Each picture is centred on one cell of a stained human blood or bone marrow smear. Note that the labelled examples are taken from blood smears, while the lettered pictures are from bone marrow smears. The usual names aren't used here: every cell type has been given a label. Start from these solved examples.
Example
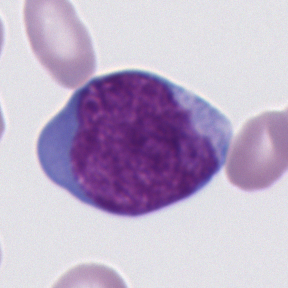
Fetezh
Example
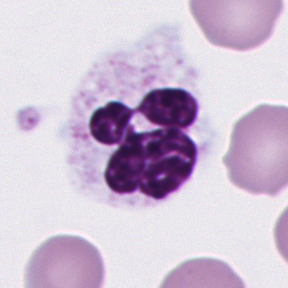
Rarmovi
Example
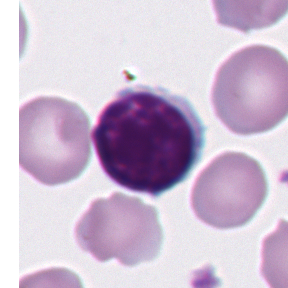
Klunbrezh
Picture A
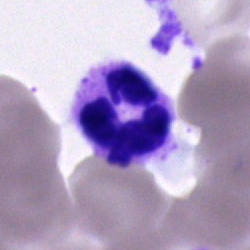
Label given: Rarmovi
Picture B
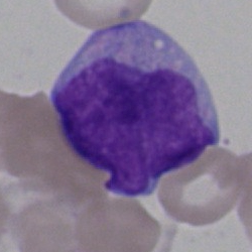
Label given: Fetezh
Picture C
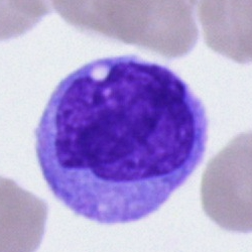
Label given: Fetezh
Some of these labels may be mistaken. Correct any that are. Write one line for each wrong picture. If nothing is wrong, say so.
All labels are correct.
